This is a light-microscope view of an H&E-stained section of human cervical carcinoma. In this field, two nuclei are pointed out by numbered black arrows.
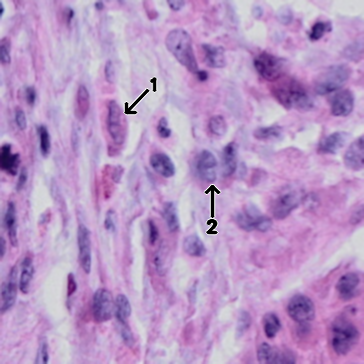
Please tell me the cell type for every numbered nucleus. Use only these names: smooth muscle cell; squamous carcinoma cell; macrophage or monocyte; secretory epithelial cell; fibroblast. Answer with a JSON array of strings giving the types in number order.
["macrophage or monocyte", "fibroblast"]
